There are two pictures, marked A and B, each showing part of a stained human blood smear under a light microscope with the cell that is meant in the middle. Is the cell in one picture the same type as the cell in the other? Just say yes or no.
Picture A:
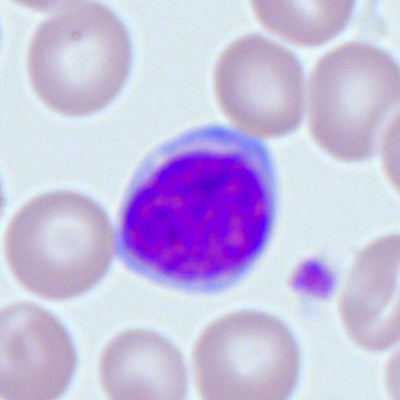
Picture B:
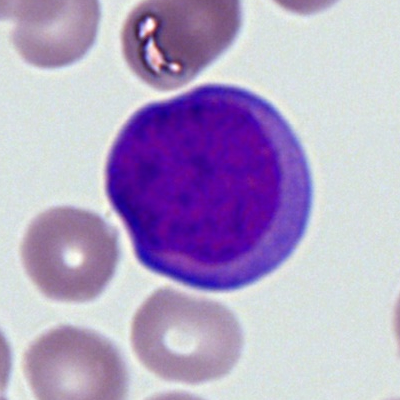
no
